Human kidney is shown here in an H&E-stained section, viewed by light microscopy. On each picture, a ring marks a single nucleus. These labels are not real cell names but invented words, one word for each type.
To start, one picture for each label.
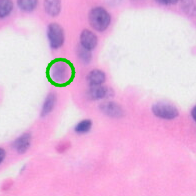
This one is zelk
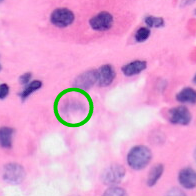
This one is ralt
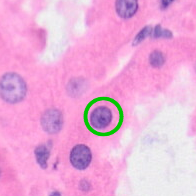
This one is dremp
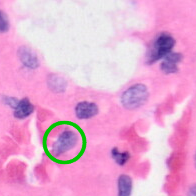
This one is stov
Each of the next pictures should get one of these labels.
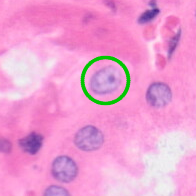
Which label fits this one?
dremp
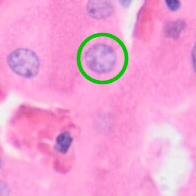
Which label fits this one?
dremp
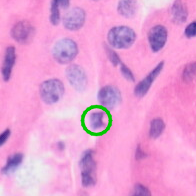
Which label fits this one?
ralt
